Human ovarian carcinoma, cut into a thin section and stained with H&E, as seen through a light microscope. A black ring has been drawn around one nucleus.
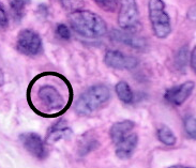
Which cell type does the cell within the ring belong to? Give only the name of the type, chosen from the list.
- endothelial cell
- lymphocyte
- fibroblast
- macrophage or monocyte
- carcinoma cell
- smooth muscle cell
macrophage or monocyte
